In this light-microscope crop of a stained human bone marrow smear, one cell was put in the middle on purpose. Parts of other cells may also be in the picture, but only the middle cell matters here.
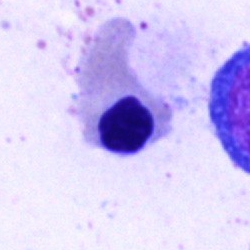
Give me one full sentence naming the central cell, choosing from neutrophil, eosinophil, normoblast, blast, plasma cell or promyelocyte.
By type, the central cell of the crop is a normoblast.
